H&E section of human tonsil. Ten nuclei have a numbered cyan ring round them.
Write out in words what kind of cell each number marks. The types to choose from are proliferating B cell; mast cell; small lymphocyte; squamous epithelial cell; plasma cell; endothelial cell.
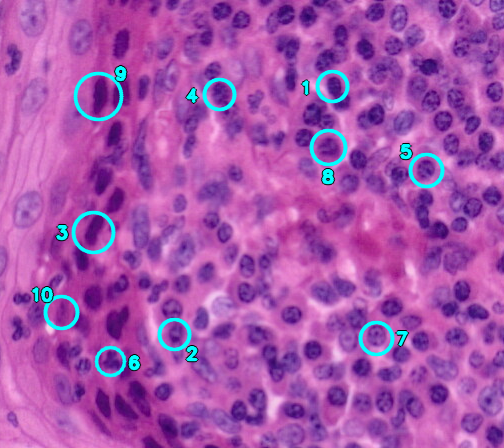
Cells 1, 2, 4, 5, 7 and 8 are plasma cells. Cells 3, 6, 9 and 10 are squamous epithelial cells.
